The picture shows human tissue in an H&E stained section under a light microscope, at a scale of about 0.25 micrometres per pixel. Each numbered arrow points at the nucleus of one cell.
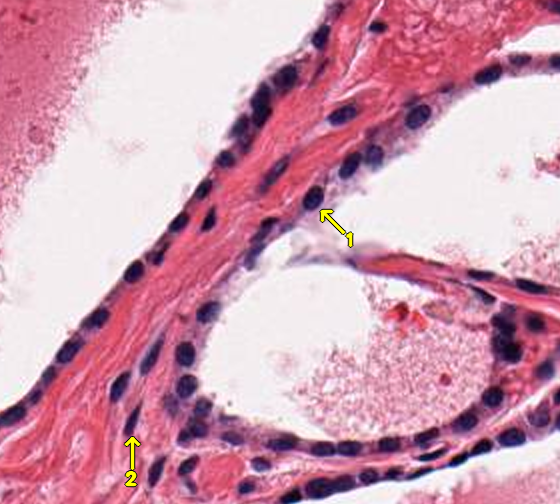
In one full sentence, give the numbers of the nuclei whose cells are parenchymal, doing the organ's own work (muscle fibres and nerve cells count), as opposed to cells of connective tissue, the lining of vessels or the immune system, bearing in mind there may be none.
Of the cells indicated, the parenchymal one is that of nucleus 1.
